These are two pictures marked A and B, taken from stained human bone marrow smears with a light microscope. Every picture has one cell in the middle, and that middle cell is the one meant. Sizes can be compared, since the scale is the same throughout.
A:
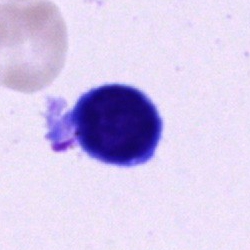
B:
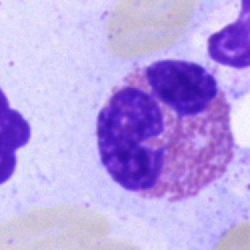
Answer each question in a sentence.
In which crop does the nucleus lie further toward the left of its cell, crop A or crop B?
In crop B the nucleus is shifted more toward the left.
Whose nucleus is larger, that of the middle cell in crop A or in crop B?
Crop B shows the larger nucleus; it covers about 1.5 times the area of the nucleus in crop A.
